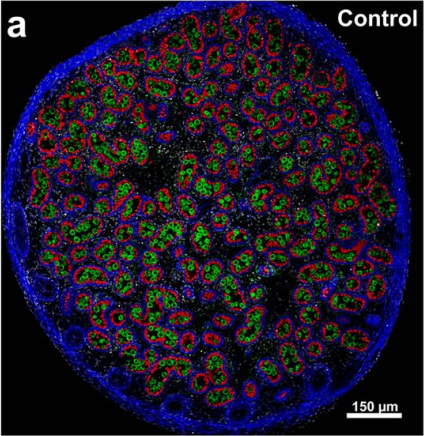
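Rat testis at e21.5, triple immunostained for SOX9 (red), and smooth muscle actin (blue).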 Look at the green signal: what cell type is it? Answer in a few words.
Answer: Germ cells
